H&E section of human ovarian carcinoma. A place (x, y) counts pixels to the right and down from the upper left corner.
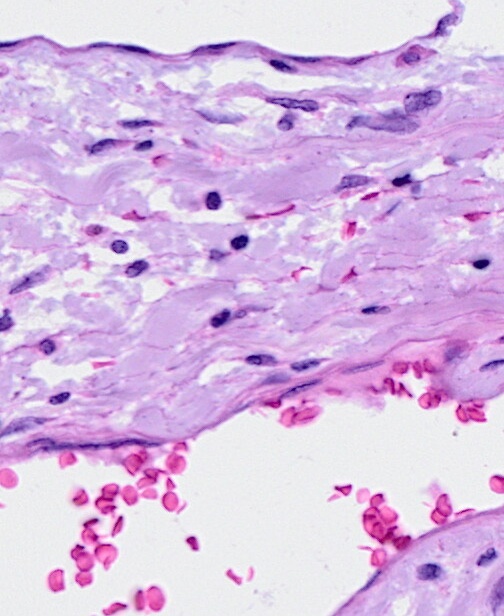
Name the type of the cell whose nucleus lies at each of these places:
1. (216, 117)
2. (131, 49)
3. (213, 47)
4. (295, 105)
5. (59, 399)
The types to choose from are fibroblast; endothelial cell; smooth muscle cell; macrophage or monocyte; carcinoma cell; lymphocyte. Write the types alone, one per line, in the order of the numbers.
fibroblast
endothelial cell
endothelial cell
macrophage or monocyte
lymphocyte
